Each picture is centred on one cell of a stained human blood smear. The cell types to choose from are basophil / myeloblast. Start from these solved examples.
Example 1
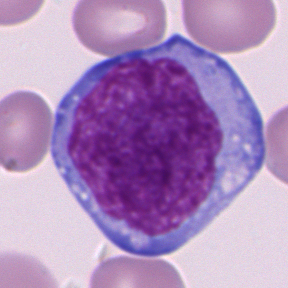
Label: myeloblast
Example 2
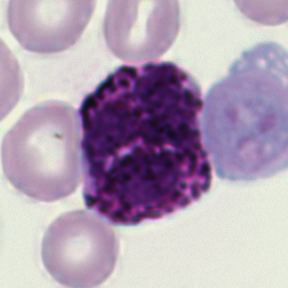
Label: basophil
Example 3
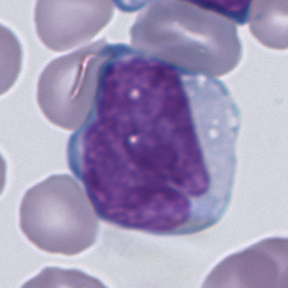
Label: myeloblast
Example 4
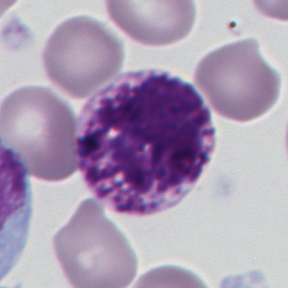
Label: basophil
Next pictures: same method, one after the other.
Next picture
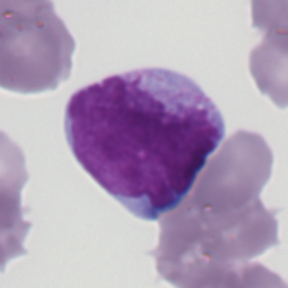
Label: myeloblast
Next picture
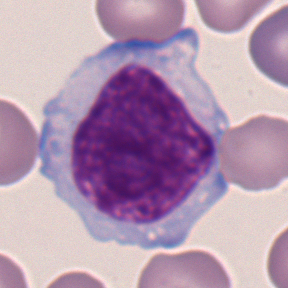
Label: myeloblast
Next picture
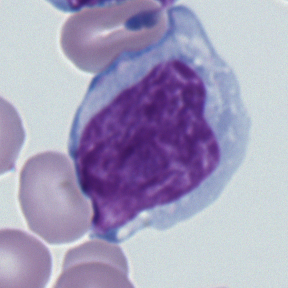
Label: myeloblast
